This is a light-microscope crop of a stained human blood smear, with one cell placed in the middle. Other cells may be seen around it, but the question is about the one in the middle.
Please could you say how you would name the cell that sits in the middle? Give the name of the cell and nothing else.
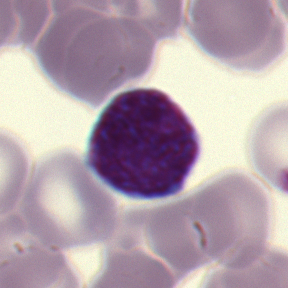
typical lymphocyte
